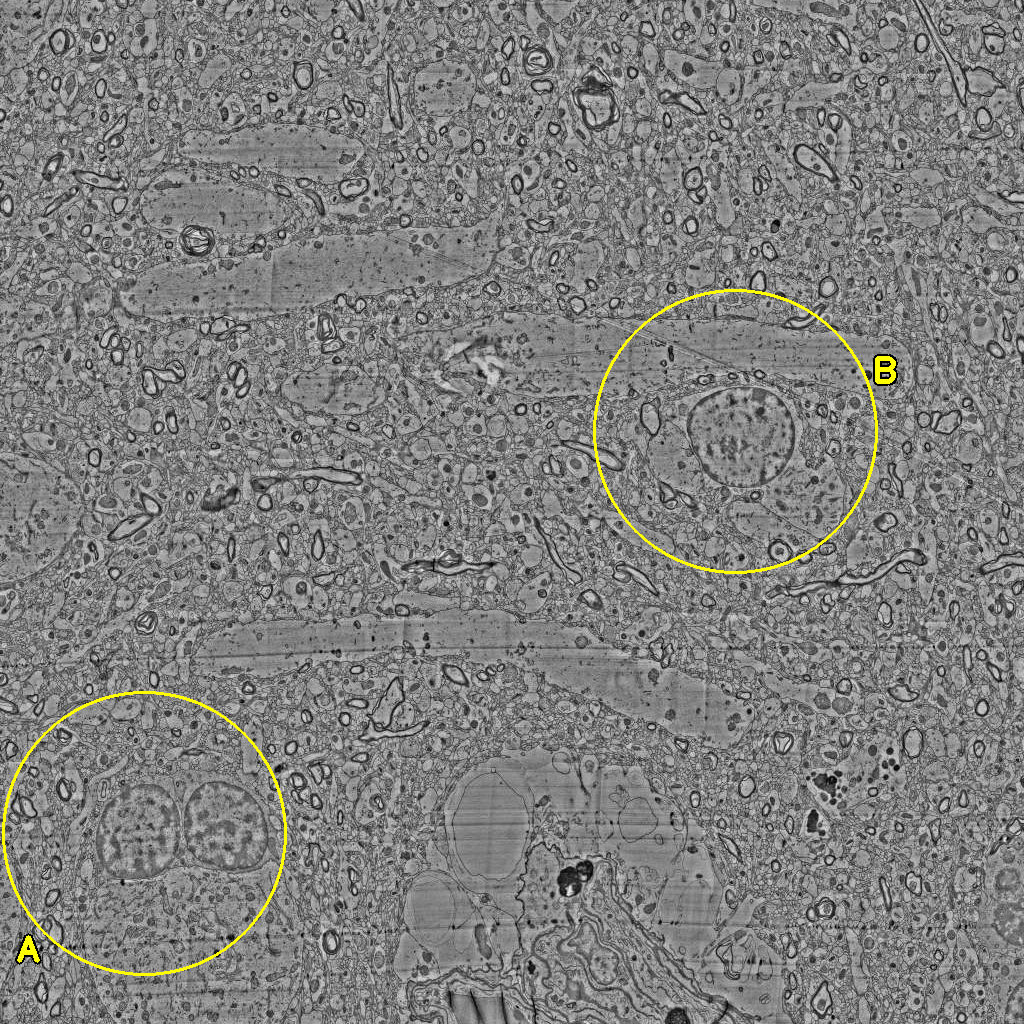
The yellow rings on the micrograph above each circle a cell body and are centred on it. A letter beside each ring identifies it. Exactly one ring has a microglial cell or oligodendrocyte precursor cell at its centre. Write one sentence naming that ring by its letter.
Ring B is the one.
